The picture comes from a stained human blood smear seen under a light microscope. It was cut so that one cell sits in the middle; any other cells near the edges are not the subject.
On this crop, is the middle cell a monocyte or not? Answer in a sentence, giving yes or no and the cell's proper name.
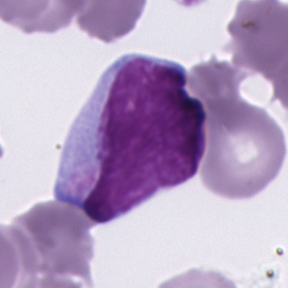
No, that is not a monocyte; the middle cell is a myeloblast.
